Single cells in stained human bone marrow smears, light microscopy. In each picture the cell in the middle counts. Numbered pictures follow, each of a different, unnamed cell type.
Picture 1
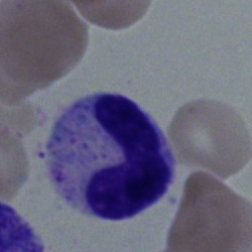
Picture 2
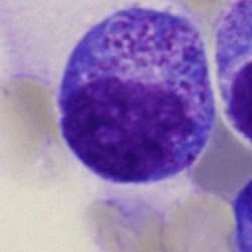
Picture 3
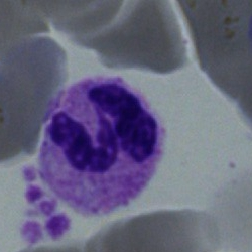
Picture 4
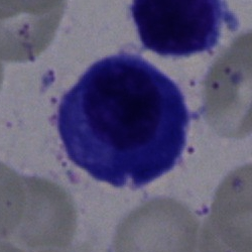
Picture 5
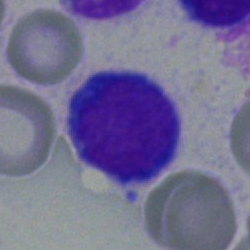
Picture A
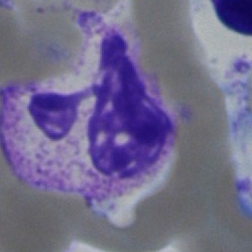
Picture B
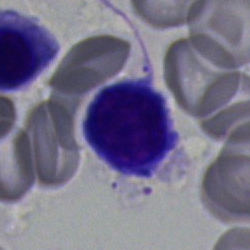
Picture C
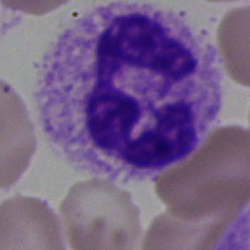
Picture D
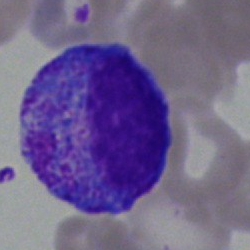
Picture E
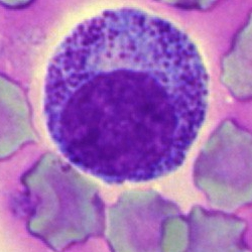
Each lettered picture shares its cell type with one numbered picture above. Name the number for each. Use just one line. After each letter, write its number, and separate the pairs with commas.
A 3, B 5, C 3, D 2, E 2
